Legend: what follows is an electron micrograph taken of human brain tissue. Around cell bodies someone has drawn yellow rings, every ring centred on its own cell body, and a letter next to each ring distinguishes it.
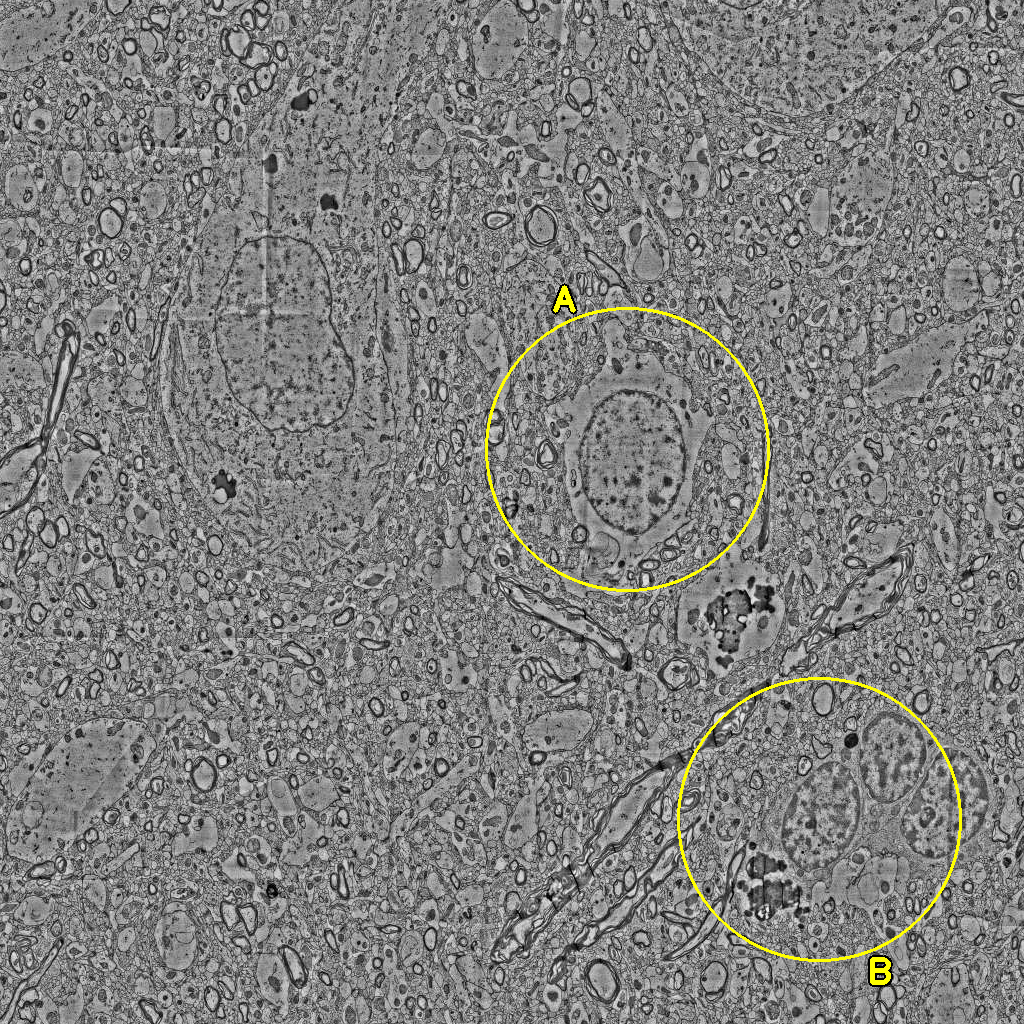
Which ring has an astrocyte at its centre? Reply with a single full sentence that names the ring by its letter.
Ring A is the one centred on the cell asked for in the picture.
